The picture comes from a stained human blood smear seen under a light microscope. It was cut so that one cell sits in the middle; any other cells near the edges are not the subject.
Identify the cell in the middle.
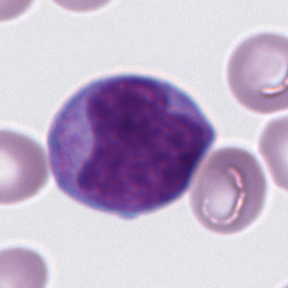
atypical promyelocyte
